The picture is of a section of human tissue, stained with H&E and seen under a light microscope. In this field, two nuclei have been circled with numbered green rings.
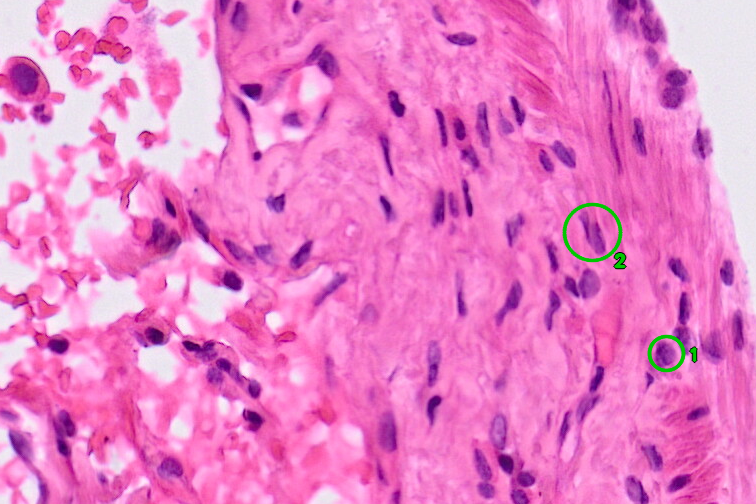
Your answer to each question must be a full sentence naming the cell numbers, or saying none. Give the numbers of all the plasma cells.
In this set of numbered cells, only cell 1 is a plasma cell.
